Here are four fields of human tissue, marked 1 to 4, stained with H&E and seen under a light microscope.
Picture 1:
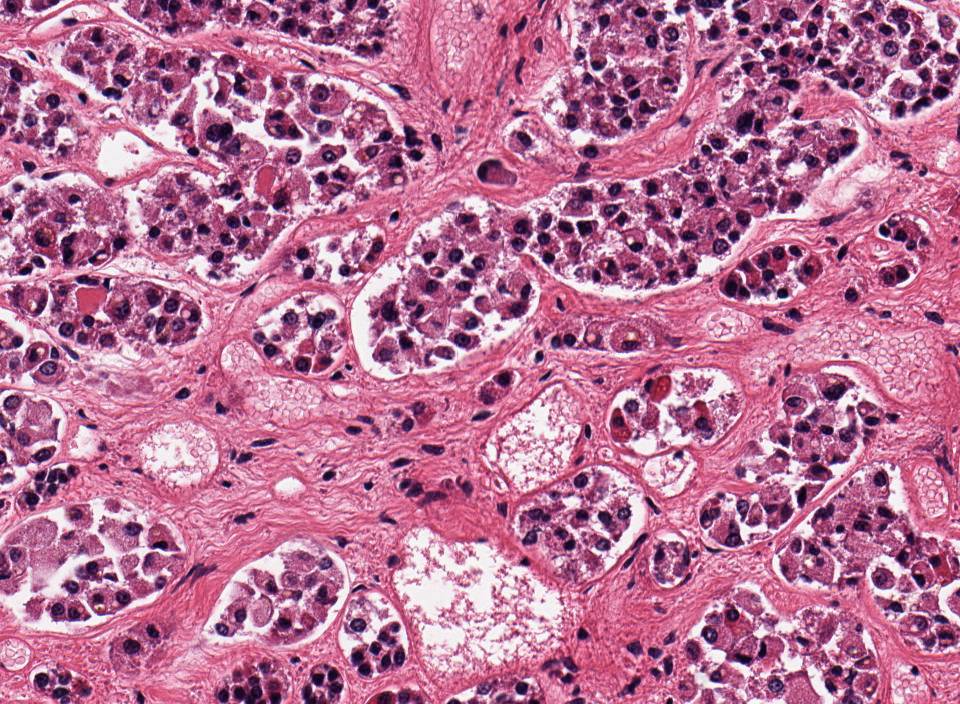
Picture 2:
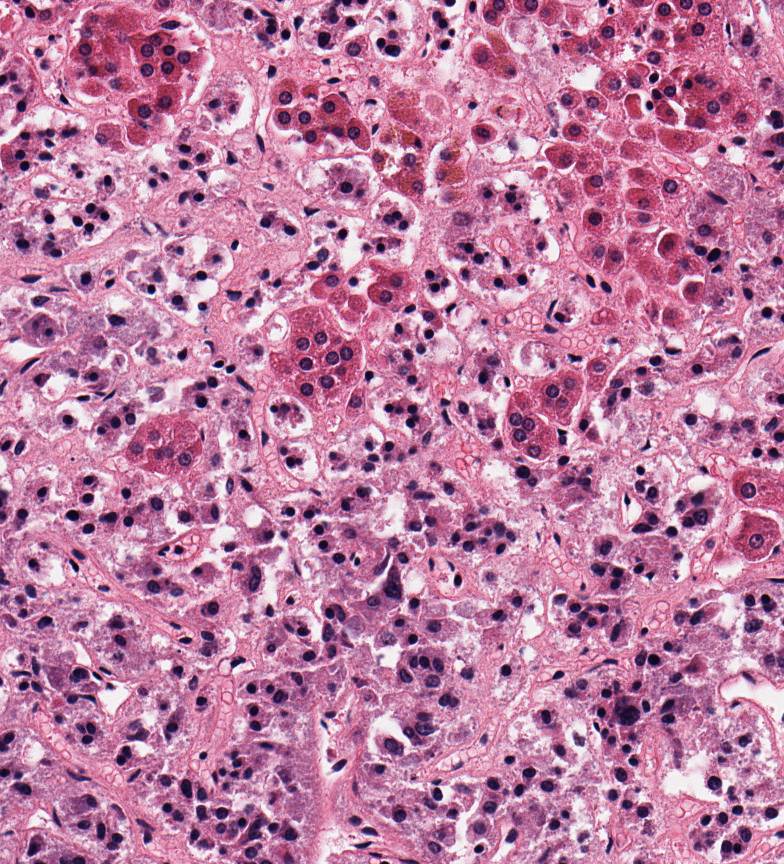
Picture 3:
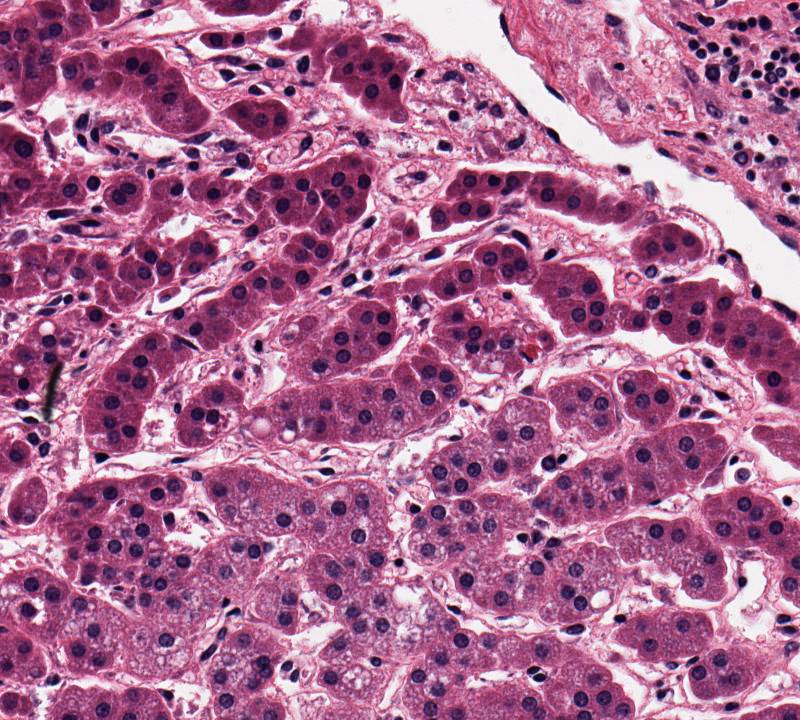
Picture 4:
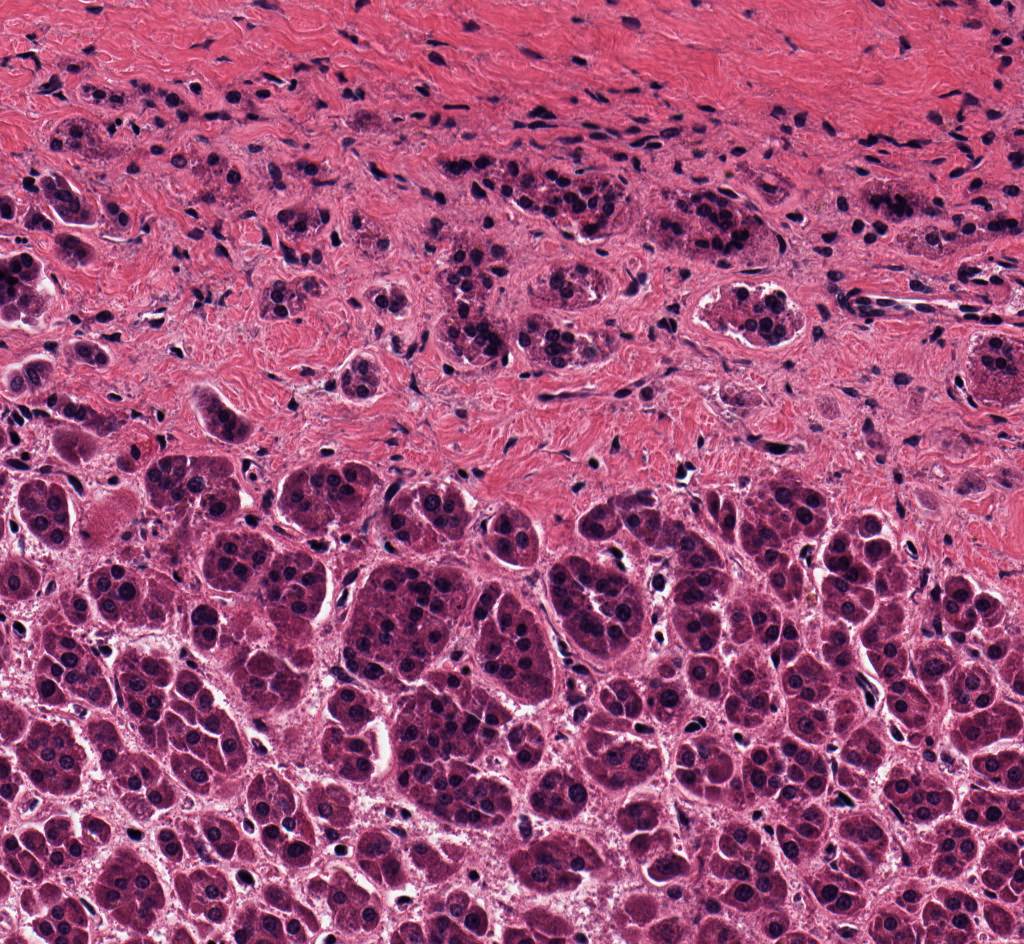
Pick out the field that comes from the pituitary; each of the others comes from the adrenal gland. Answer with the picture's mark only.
1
